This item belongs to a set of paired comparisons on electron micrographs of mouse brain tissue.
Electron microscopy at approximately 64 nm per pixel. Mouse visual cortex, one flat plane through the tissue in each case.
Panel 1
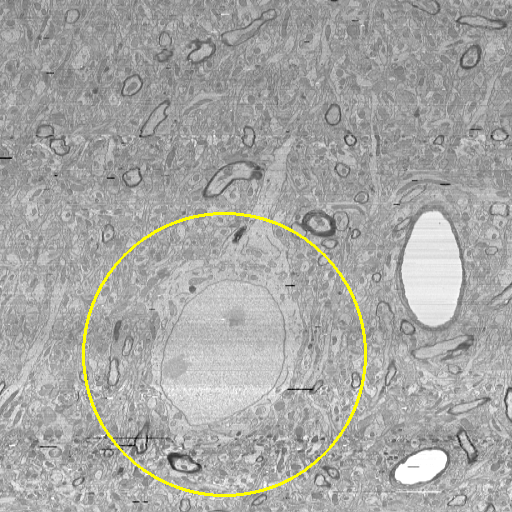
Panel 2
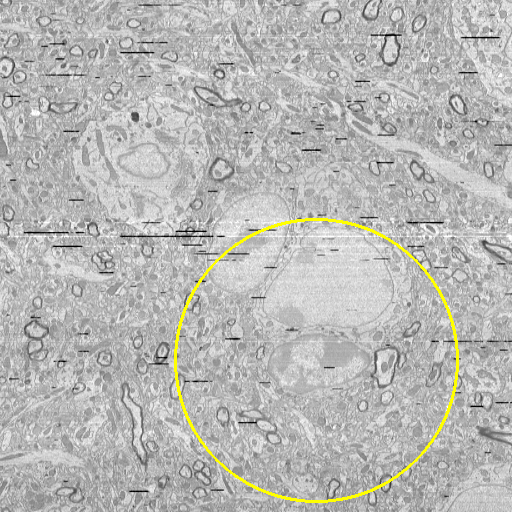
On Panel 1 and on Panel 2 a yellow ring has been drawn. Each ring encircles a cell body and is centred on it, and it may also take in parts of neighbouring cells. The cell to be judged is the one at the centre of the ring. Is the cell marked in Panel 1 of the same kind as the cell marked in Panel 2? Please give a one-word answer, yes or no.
no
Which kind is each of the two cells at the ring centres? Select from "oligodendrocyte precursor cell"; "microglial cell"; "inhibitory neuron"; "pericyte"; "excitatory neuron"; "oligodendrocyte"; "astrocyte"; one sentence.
The cell at the centre of the ring is an excitatory neuron in the first picture and an oligodendrocyte in the second.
